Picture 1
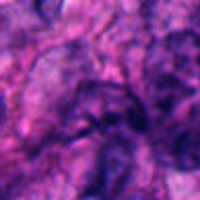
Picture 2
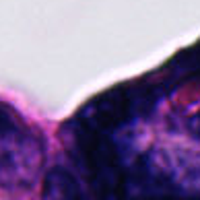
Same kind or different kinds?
Different: the first is a cytotrophoblast, the second a syncytial knot.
